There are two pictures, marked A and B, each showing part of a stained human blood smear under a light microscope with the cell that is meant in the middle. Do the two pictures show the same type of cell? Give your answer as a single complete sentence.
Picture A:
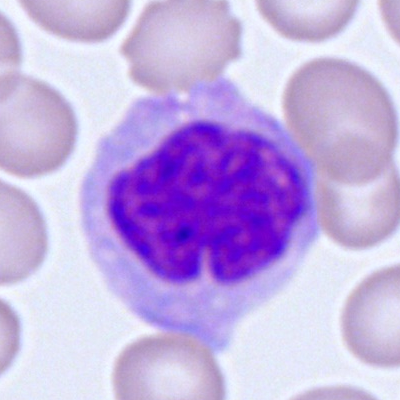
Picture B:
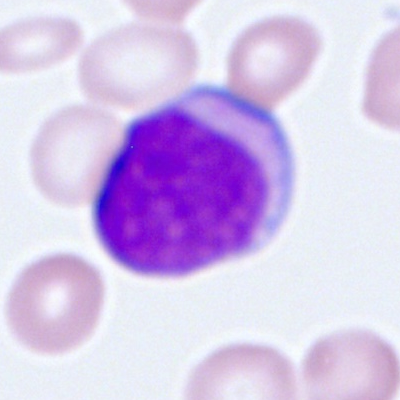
No, picture A shows a monocyte and picture B shows a myeloblast.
